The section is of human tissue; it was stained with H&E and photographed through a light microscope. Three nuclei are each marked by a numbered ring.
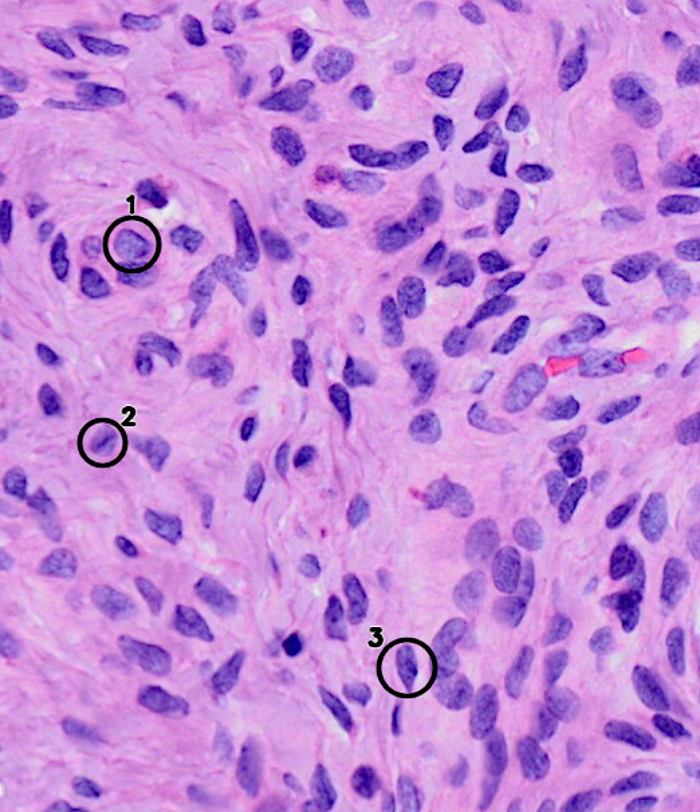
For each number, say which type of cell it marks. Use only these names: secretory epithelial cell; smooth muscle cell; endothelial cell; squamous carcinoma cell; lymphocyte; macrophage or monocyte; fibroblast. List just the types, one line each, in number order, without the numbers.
endothelial cell
fibroblast
fibroblast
